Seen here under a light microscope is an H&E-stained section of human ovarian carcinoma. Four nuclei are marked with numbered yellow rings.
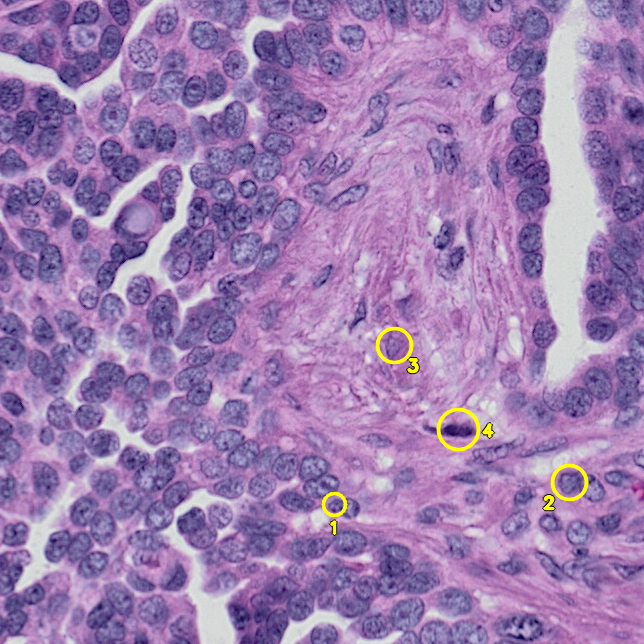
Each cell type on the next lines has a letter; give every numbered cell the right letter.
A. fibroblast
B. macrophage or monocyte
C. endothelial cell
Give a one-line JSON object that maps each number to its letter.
{"1": "B", "2": "C", "3": "A", "4": "B"}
